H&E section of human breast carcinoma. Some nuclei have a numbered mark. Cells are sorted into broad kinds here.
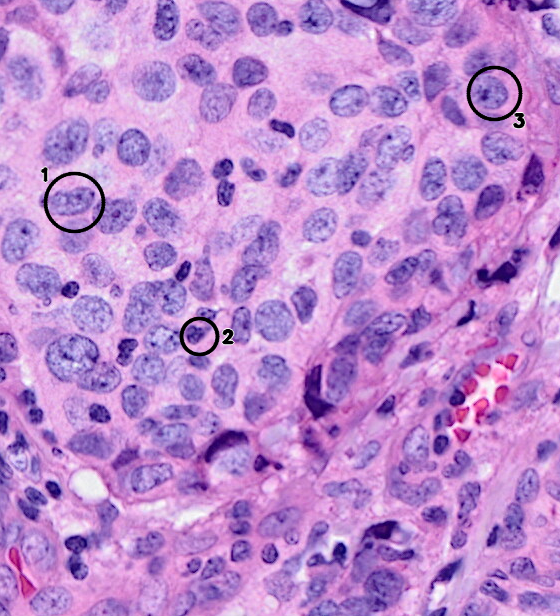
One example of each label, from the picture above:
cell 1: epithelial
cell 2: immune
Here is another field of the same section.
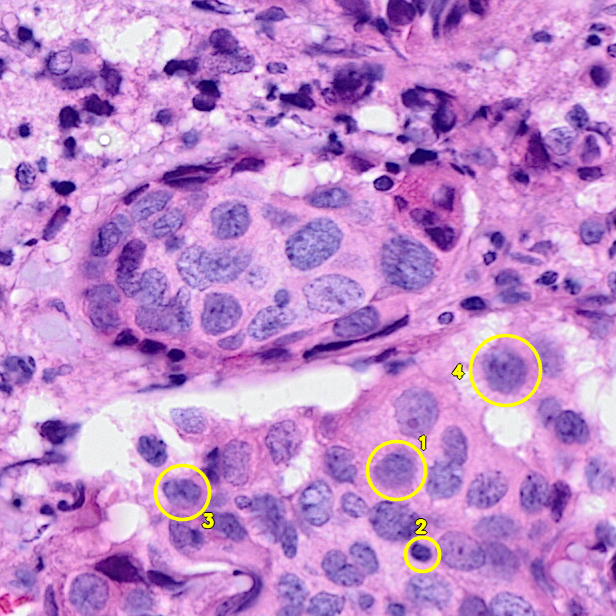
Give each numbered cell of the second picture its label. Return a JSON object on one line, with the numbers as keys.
{"1": "epithelial", "2": "immune", "3": "epithelial", "4": "epithelial"}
